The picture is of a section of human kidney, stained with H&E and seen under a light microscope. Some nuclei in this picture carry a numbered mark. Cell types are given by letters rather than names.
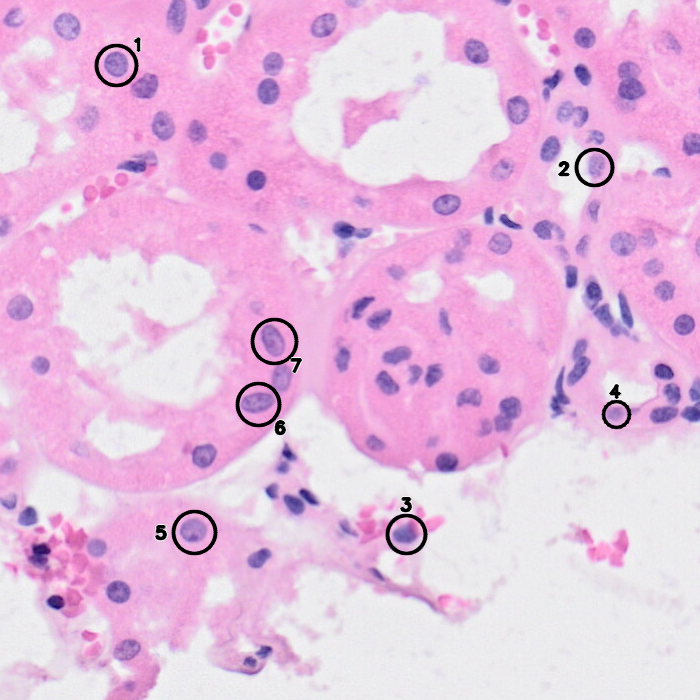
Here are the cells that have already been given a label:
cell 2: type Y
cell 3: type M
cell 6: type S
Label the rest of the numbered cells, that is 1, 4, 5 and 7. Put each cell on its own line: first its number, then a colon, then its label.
1: type S
4: type Y
5: type S
7: type S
